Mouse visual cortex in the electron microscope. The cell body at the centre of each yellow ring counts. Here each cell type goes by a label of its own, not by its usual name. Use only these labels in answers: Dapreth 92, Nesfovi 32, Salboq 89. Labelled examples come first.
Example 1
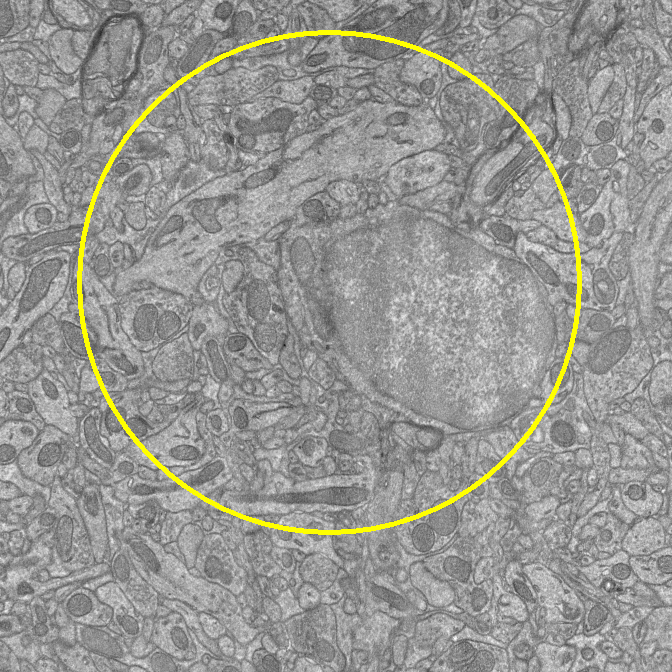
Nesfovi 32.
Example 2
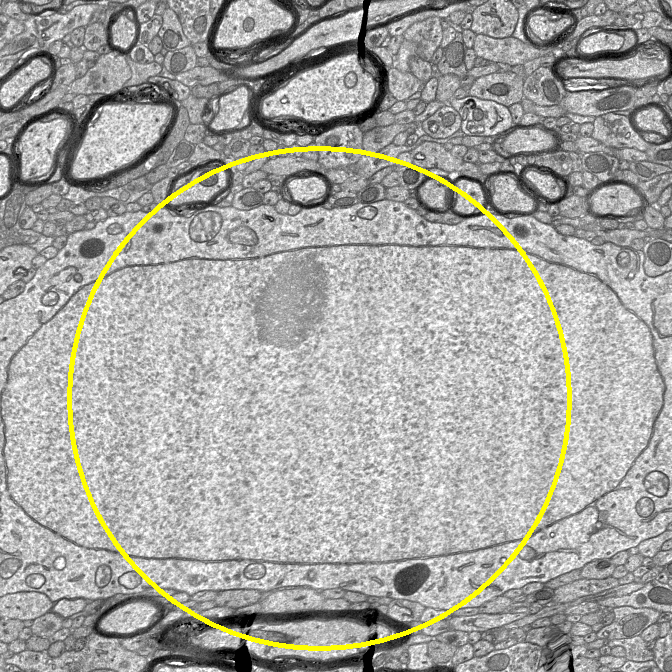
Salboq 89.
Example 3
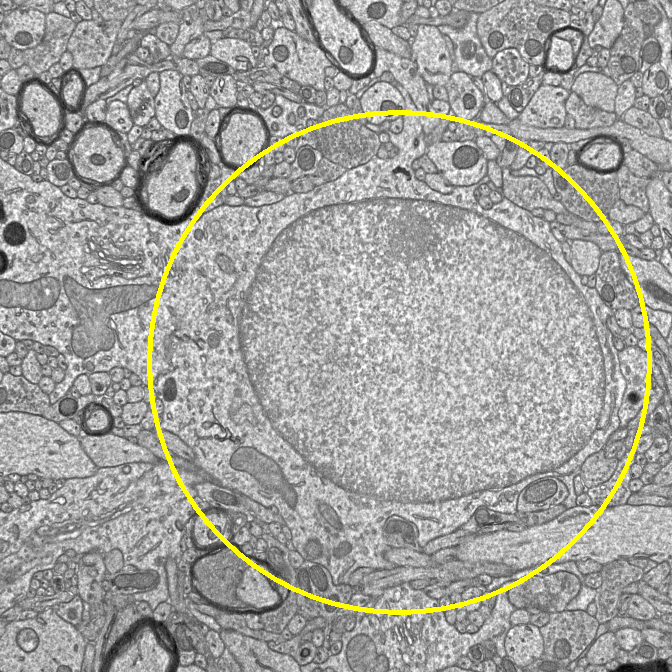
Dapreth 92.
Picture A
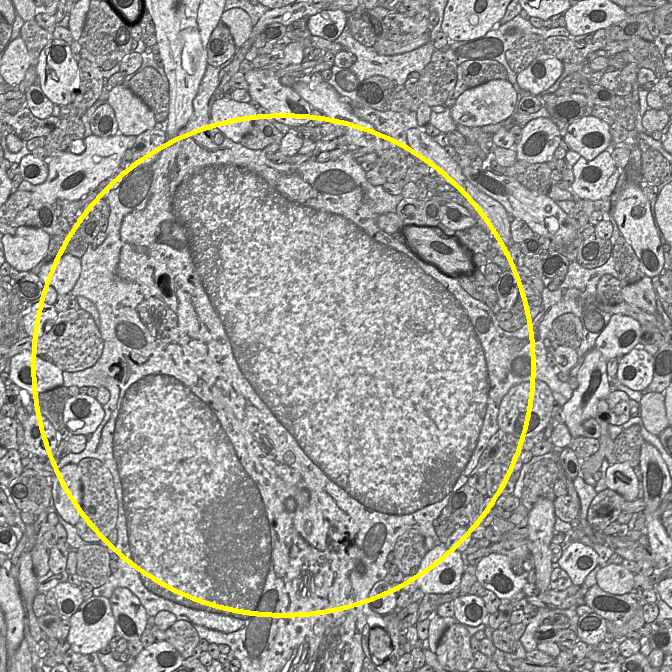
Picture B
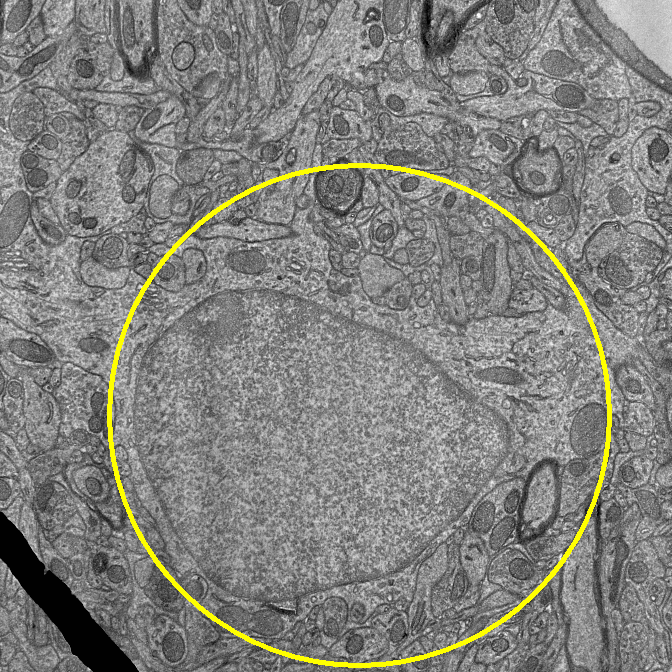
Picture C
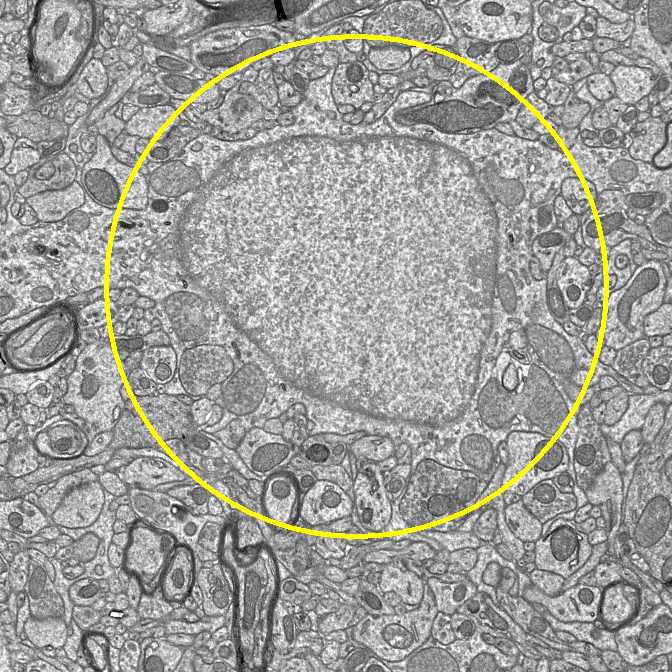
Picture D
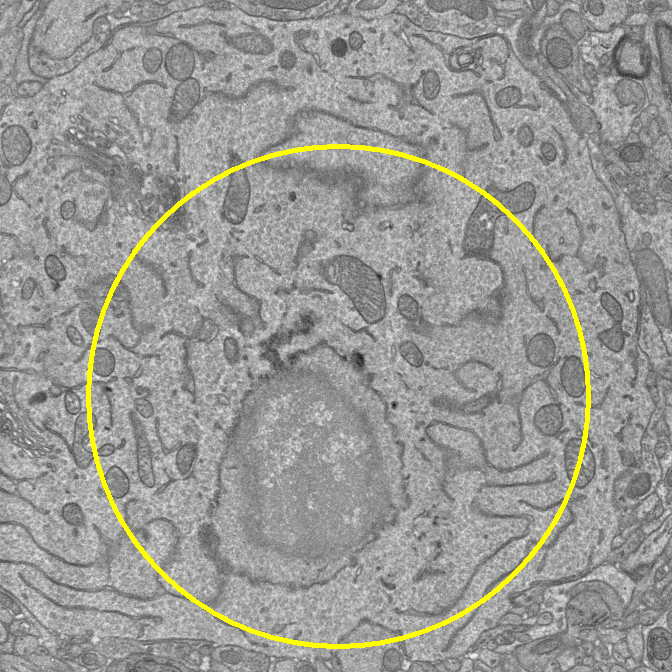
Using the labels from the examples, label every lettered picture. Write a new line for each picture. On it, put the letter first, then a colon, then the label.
A: Dapreth 92.
B: Dapreth 92.
C: Dapreth 92.
D: Nesfovi 32.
